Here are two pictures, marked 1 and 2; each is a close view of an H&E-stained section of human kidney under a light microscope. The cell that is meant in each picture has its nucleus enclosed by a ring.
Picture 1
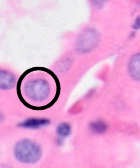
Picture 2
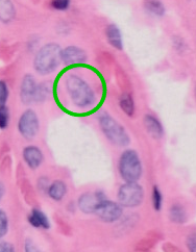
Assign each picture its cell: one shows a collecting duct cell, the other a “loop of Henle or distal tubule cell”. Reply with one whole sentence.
The cell in picture 1 is a “loop of Henle or distal tubule cell”, and the one in picture 2 is a collecting duct cell.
